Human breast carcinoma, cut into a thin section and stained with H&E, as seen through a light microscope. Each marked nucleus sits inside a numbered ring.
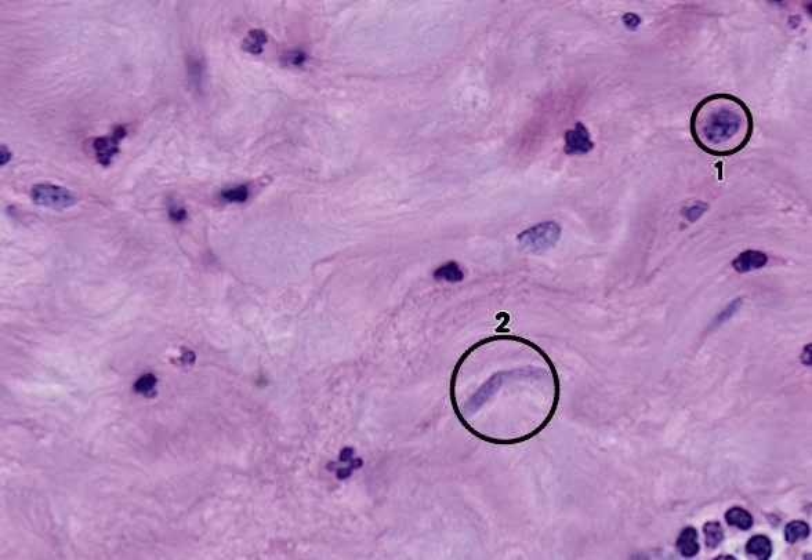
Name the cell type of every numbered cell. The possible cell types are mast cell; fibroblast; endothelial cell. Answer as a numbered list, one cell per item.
1. mast cell
2. fibroblast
